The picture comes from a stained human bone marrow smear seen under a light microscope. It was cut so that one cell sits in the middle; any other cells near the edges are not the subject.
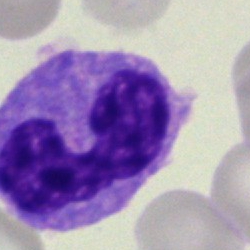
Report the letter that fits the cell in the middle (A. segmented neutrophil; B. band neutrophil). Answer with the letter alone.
B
